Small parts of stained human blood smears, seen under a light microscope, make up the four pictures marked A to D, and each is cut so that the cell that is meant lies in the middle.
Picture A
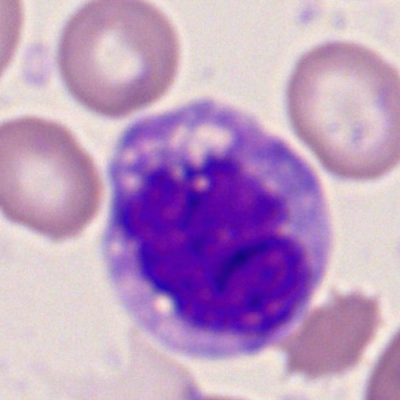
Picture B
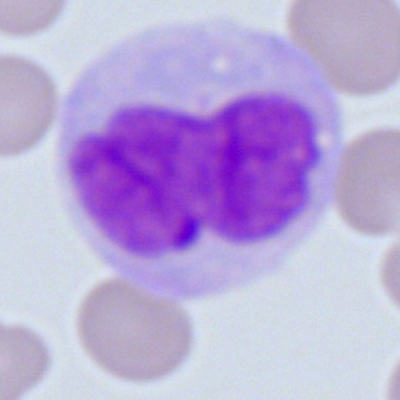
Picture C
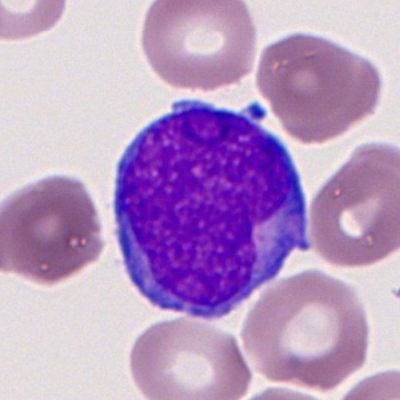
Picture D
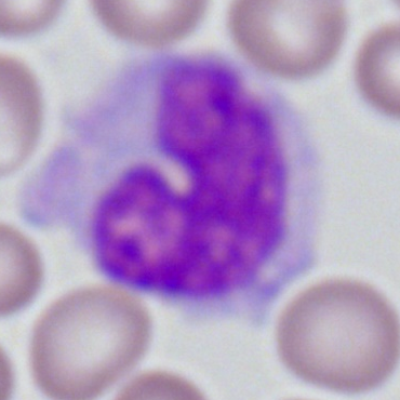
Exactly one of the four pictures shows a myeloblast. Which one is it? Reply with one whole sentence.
The myeloblast is the one in picture C.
